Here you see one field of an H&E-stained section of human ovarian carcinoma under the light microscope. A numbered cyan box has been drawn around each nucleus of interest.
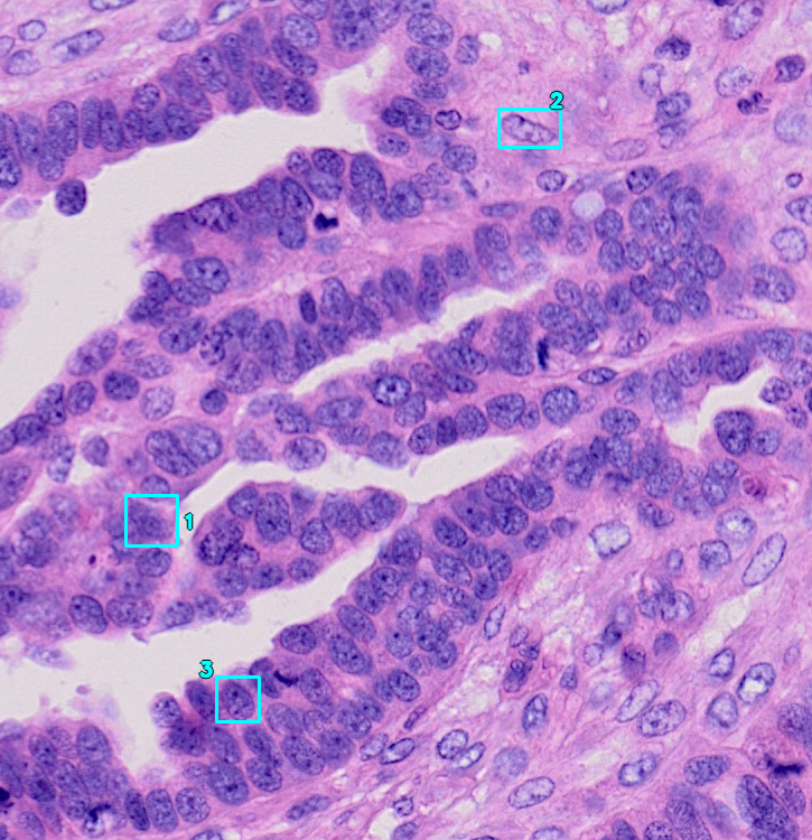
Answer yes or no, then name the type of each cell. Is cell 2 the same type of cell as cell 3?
No, cell 2 should be called a fibroblast, and cell 3 should be called a carcinoma cell.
